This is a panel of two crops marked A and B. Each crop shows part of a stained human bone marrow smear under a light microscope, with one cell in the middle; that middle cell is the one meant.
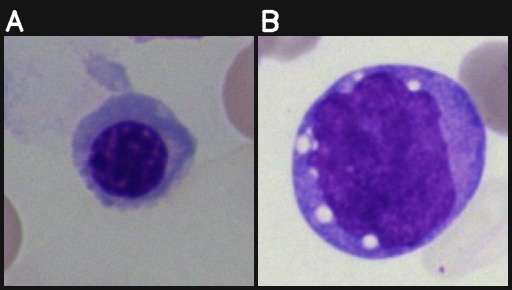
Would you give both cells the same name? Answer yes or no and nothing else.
no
